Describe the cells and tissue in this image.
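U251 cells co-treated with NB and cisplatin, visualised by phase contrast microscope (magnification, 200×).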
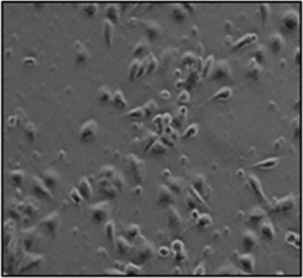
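Cultured cells are sparse, leaving large areas of bare dish surface. Many of the remaining cells are small and rounded, while a few are elongated with thin processes. The cells lie scattered or in small loose groups.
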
